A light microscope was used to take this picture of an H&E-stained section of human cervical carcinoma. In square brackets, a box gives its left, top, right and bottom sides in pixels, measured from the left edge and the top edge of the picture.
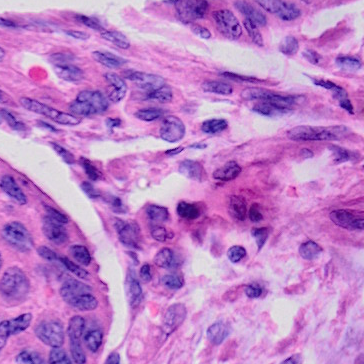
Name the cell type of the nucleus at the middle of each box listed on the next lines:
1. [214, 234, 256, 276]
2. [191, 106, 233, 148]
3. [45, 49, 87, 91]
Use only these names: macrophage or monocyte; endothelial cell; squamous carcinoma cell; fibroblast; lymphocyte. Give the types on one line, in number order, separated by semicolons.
lymphocyte; lymphocyte; endothelial cell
